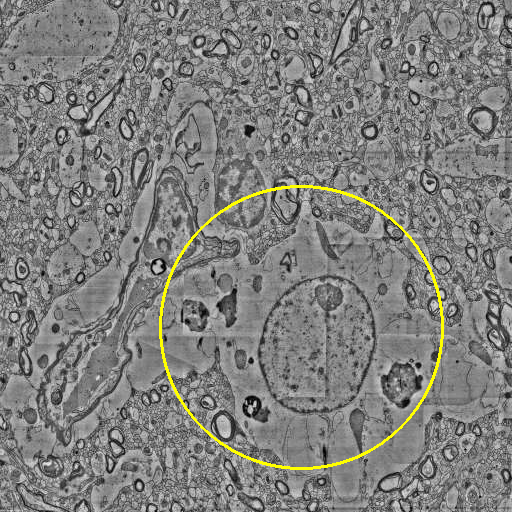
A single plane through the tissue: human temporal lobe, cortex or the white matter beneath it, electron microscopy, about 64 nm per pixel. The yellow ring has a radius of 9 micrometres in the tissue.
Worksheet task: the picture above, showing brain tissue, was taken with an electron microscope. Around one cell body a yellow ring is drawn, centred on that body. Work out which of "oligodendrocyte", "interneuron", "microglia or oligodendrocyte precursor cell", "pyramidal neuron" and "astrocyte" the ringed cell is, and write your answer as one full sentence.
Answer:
It is an astrocyte whose cell body lies at the centre of the yellow ring.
